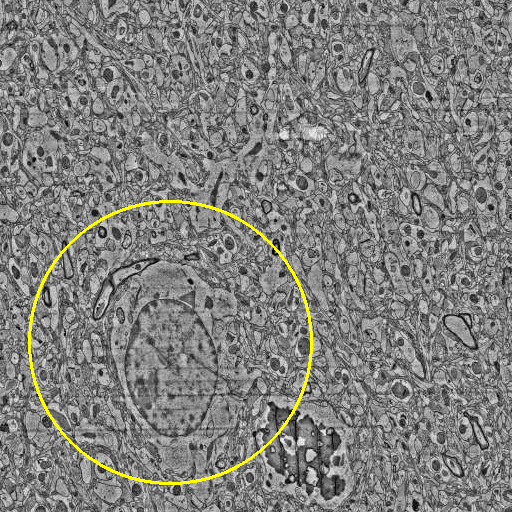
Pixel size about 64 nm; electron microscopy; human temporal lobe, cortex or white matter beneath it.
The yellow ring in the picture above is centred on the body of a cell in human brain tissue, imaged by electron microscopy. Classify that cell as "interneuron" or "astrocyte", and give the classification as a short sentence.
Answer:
The cell in the middle of the ring is an astrocyte.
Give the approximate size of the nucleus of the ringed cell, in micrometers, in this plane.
Approximately 9 by 6 micrometers in this plane.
